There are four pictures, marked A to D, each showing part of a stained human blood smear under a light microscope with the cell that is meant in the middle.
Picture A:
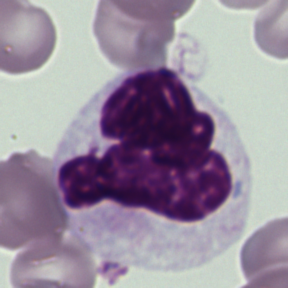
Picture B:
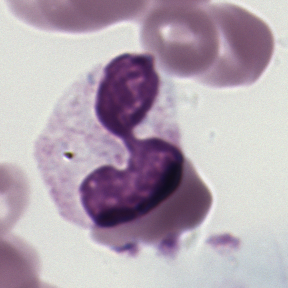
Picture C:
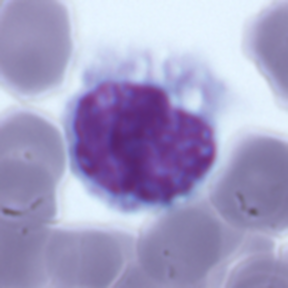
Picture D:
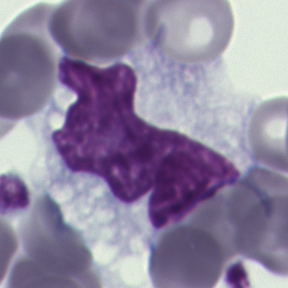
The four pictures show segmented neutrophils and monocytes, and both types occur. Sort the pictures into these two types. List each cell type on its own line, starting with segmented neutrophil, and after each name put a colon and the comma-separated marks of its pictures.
segmented neutrophil: A, B
monocyte: C, D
